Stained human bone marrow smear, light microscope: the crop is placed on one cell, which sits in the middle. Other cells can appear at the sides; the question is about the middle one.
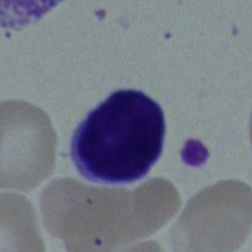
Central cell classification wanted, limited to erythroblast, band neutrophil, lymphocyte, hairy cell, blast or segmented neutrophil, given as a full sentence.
The middle of this crop holds a lymphocyte.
